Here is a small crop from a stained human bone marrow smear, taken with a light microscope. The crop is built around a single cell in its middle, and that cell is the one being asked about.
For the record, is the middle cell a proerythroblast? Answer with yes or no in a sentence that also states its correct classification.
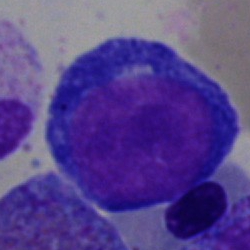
Yes, the middle cell in this crop is a proerythroblast.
